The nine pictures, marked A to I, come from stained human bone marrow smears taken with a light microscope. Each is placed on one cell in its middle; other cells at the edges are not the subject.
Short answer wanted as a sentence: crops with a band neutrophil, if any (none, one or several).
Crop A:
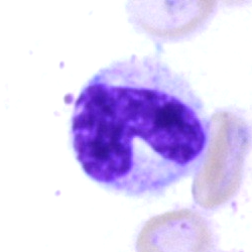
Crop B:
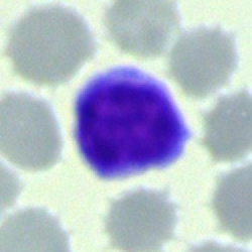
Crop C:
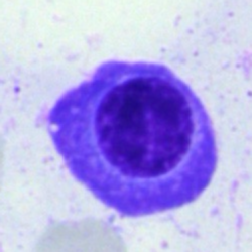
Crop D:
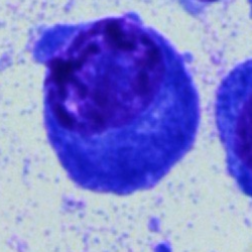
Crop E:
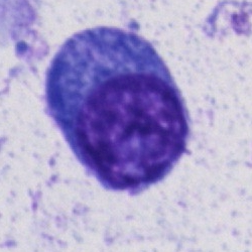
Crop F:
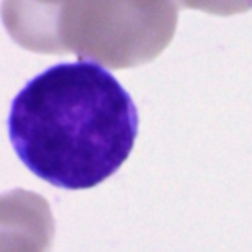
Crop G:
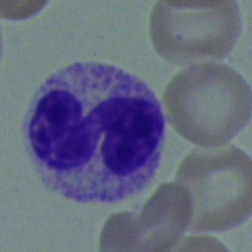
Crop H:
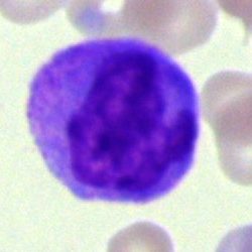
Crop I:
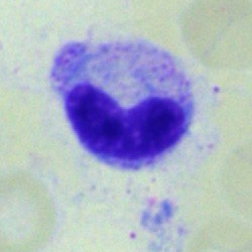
Classification of crops A, G and I: the central cells are band neutrophils.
